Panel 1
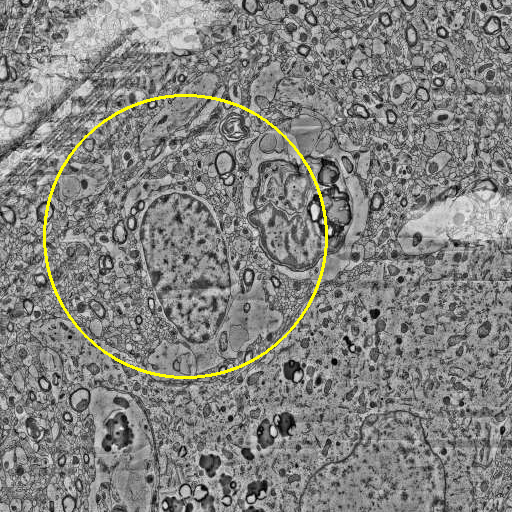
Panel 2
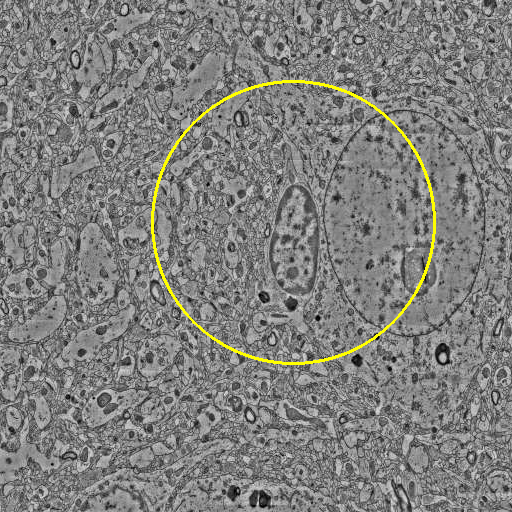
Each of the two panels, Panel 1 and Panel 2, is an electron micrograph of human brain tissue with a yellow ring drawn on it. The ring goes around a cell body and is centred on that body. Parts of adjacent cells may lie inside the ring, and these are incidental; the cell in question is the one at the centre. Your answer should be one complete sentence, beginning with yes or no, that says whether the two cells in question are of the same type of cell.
Yes, the two cells are of the same type.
